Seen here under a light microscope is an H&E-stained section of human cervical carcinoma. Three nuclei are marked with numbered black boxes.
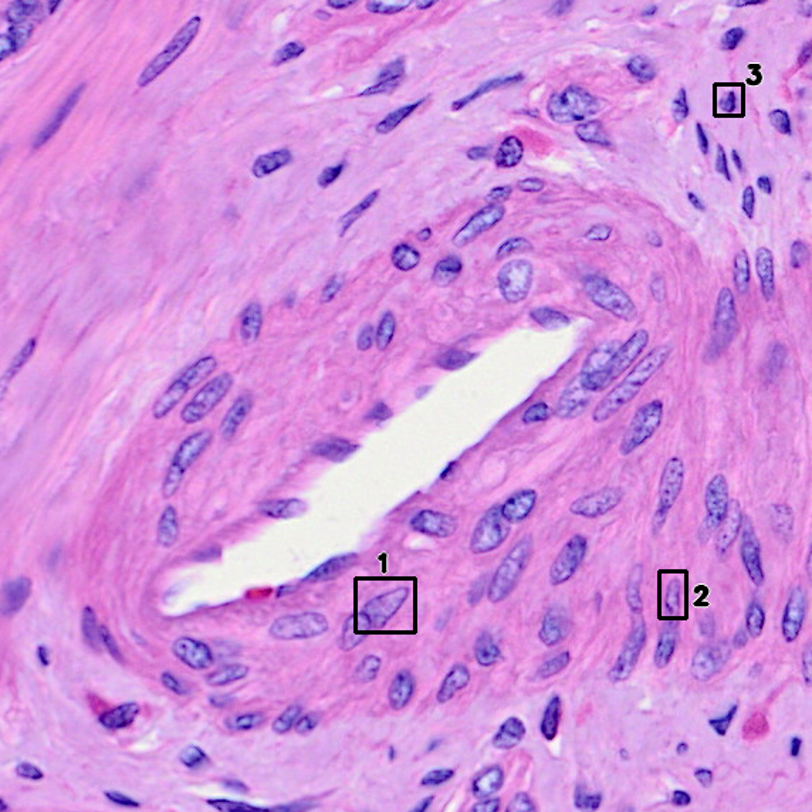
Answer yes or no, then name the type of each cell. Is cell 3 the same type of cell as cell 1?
No, cell 3 is a fibroblast and cell 1, for its part, is a smooth muscle cell.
